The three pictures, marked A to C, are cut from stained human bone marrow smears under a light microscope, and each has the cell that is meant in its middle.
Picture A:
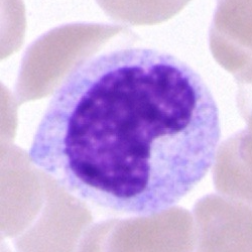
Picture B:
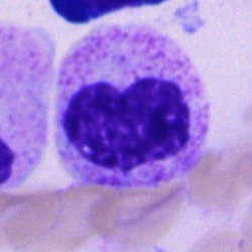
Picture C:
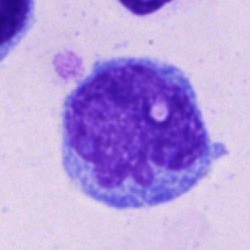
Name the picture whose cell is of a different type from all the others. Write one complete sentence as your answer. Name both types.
All pictures except C show metamyelocytes; picture C shows a monocyte.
